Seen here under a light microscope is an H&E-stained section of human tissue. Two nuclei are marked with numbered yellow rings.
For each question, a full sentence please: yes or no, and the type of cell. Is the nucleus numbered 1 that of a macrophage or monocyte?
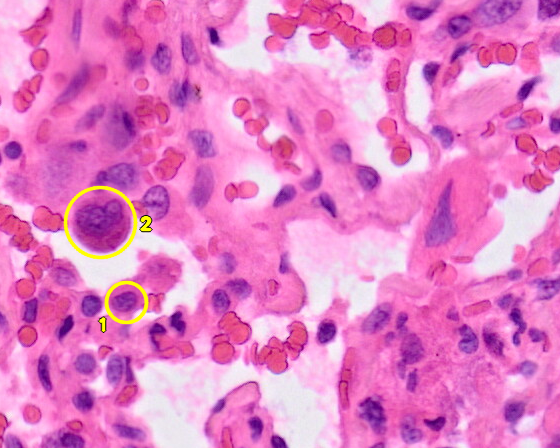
Yes, that is right: the cell labelled 1 is a macrophage or monocyte.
